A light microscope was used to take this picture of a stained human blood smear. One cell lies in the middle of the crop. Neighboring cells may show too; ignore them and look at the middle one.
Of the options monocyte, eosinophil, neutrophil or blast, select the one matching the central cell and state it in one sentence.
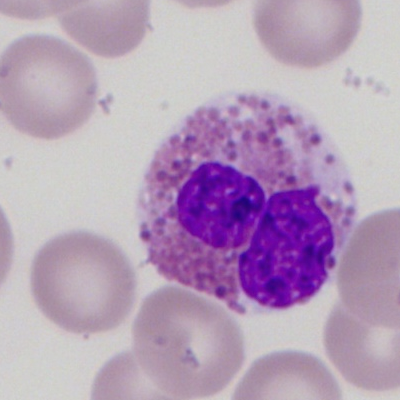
On this slide crop, the central cell is an eosinophil.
